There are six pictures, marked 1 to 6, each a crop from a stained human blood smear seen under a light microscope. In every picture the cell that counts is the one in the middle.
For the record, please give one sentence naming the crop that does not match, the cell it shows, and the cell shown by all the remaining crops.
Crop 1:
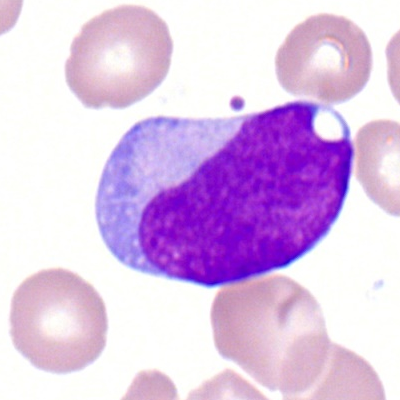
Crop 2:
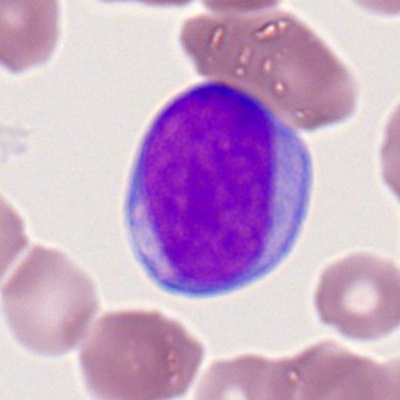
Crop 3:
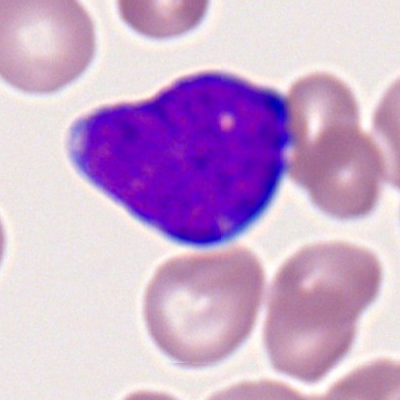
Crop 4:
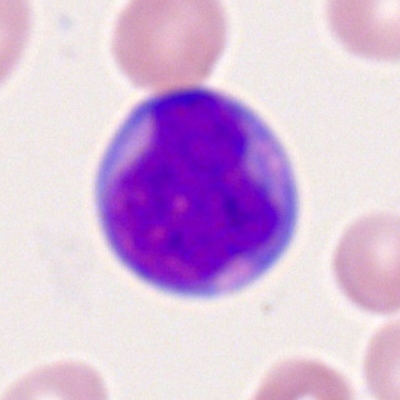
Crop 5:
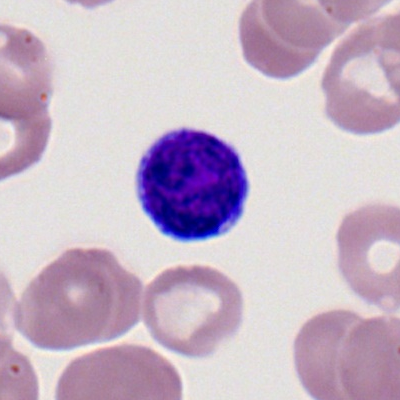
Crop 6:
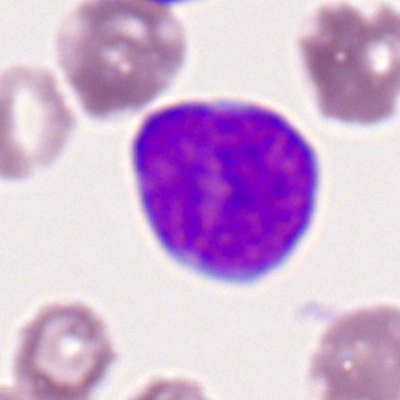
Crop 5, showing a lymphocyte, is the exception; the others all show myeloblasts.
